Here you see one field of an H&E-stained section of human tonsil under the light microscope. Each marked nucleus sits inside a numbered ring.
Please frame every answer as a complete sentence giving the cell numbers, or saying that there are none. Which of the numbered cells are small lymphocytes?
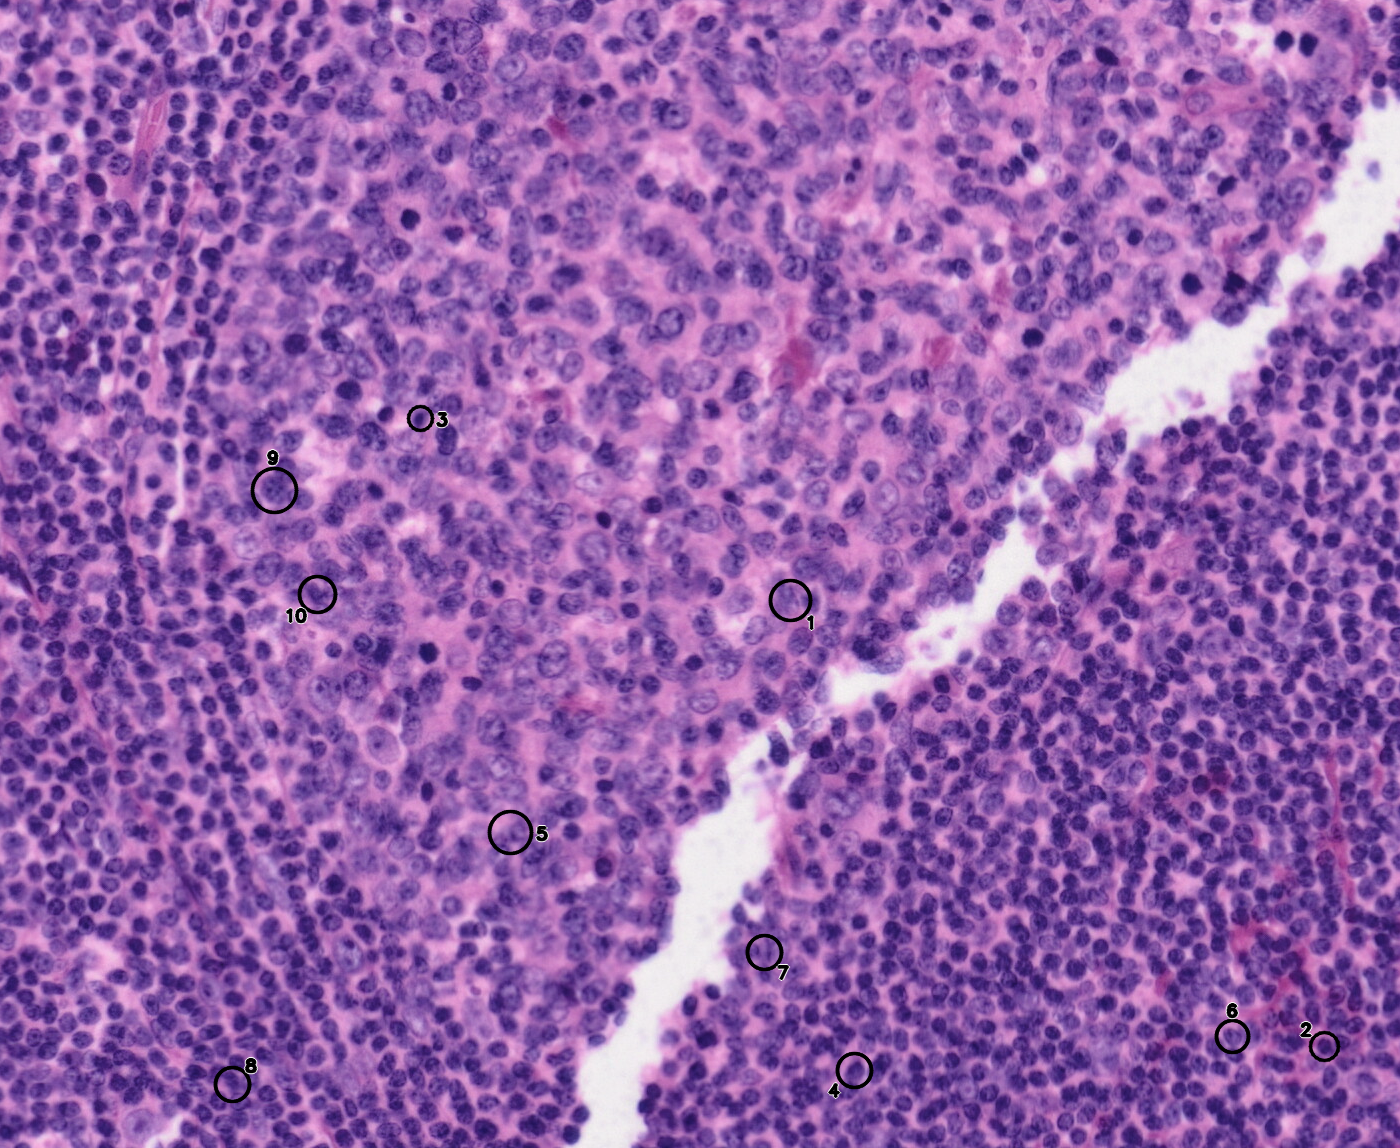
The cells numbered 2, 4, 6 and 8 are of one kind: small lymphocytes.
